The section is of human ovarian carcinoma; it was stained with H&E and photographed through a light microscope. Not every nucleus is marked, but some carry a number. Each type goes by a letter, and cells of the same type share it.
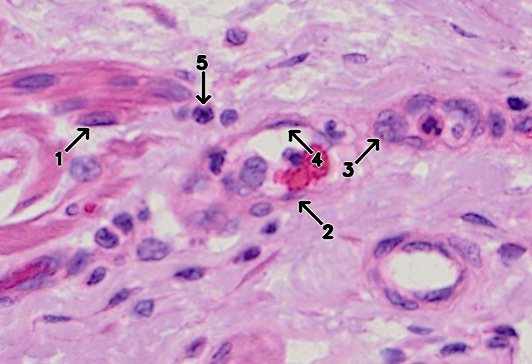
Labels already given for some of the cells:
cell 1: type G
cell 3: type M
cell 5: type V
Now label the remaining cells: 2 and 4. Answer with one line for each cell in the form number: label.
2: type M
4: type M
